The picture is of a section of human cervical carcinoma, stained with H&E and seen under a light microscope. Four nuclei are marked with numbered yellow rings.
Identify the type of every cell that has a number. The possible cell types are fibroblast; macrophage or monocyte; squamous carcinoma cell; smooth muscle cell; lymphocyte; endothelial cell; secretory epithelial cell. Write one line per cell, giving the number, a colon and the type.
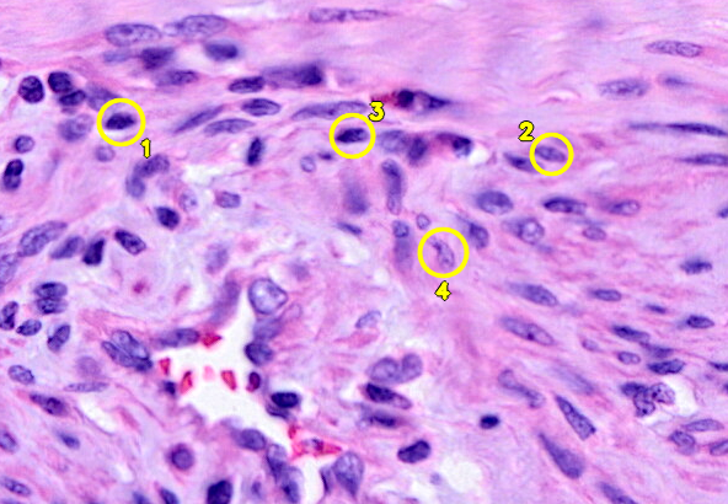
1: lymphocyte
2: smooth muscle cell
3: lymphocyte
4: smooth muscle cell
